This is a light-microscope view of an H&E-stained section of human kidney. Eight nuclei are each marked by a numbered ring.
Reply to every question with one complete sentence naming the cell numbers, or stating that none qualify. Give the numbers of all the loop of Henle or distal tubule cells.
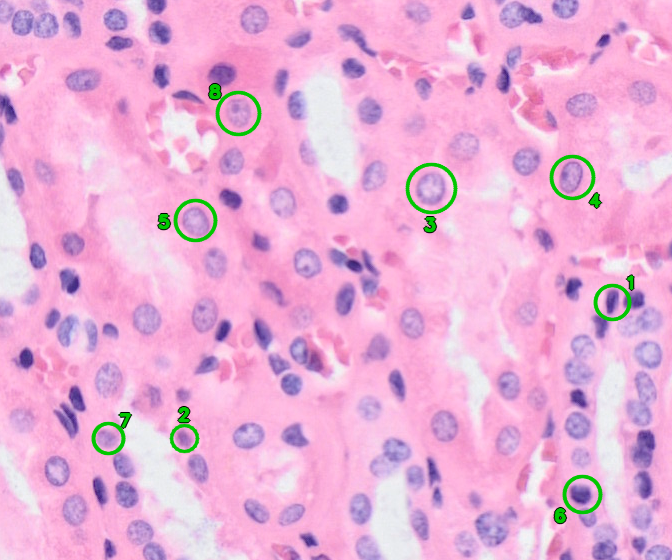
The cells bearing the numbers 2 and 7 are loop of Henle or distal tubule cells.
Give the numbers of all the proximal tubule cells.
The cells identified by the numbers 3, 4, 5 and 8 are proximal tubule cells.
